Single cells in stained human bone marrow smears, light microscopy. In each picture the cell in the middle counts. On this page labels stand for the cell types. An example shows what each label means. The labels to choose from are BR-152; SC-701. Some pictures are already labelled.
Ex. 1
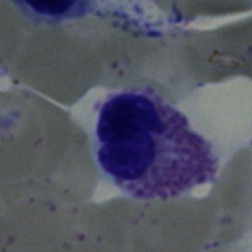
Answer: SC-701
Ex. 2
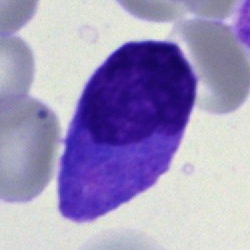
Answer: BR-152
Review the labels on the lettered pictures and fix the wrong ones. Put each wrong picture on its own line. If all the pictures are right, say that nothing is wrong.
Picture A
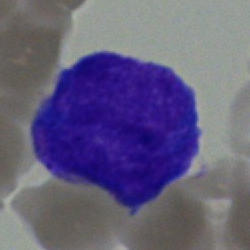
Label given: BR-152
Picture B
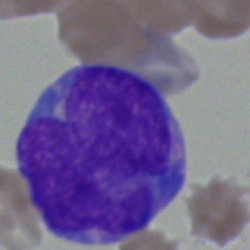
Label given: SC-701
B should be BR-152, not SC-701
